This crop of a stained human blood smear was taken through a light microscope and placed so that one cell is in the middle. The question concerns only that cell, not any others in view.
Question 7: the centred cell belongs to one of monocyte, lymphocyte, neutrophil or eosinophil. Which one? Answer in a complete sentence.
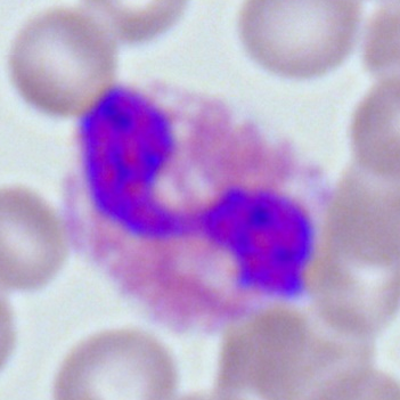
The cell around which this crop is centred is an eosinophil.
